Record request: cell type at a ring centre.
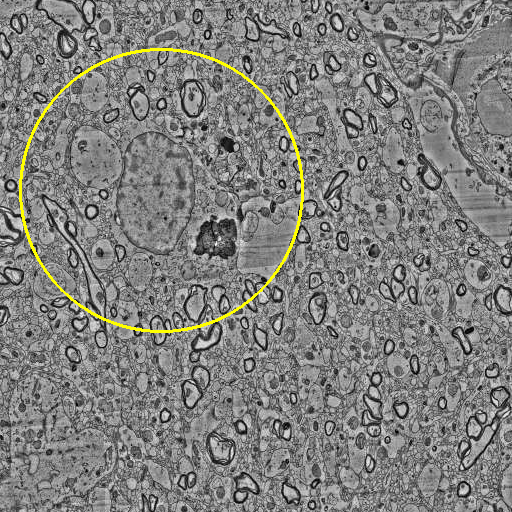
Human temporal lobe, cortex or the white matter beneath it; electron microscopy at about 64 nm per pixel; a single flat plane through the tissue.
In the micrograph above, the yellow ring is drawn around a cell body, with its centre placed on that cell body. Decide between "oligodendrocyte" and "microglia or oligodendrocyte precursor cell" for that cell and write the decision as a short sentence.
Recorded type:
The cell centred in the yellow ring is an oligodendrocyte.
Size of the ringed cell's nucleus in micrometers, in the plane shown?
In this plane, roughly 8 by 5 micrometres.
